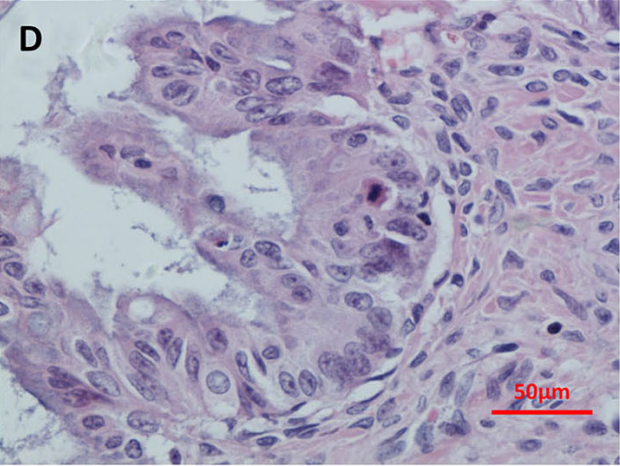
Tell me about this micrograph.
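Columnar epithelial cells line a gland-like space; they have pink cytoplasm and enlarged, oval, pale nuclei with visible nucleoli. The nuclei are crowded and sit at different levels, so the lining looks stratified rather than a single neat row. A few cells have dark, clumped chromatin. To the right, the epithelium rests on a fibrous stroma of pink collagen with slender spindle-shaped nuclei. The lumen on the left is pale and contains wispy material.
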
